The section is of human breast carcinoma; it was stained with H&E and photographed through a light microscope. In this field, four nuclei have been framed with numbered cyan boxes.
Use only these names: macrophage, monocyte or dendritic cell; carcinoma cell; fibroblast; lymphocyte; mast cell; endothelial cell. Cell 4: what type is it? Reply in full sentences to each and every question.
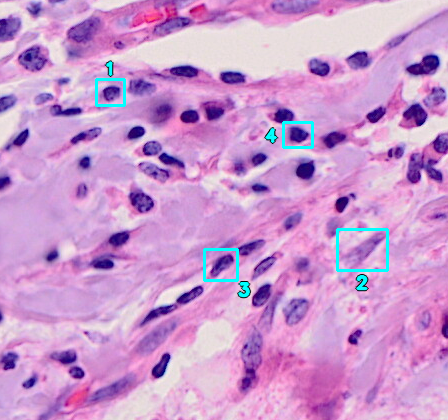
The cell whose nucleus carries the number 4 is a lymphocyte.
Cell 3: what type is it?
The cell referred to as 3 is a lymphocyte.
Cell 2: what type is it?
The nucleus with number 2 is that of a fibroblast.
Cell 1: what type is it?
The marked cell bearing number 1 is a lymphocyte.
